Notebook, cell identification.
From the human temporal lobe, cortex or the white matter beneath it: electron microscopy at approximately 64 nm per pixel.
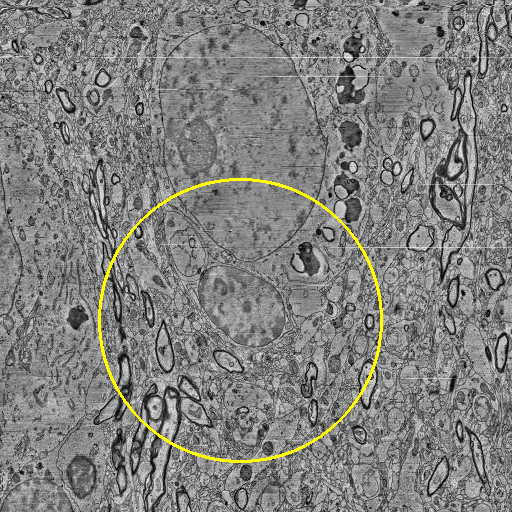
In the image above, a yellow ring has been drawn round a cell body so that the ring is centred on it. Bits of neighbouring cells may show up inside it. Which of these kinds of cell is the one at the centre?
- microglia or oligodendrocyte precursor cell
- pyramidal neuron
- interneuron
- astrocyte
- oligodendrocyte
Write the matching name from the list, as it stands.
microglia or oligodendrocyte precursor cell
